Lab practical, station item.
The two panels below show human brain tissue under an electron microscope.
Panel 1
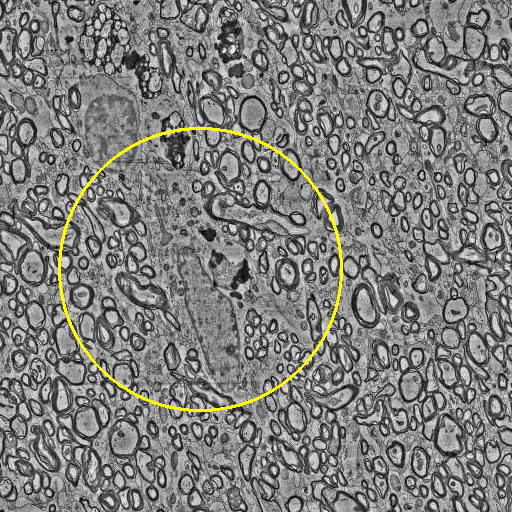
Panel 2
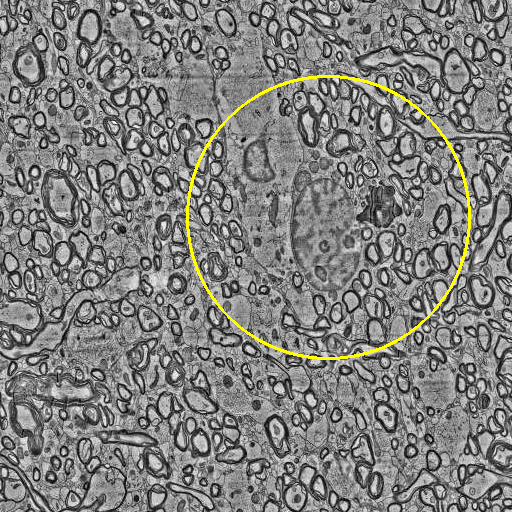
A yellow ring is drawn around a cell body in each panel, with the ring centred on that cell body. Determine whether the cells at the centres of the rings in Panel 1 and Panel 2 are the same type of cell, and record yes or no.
no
